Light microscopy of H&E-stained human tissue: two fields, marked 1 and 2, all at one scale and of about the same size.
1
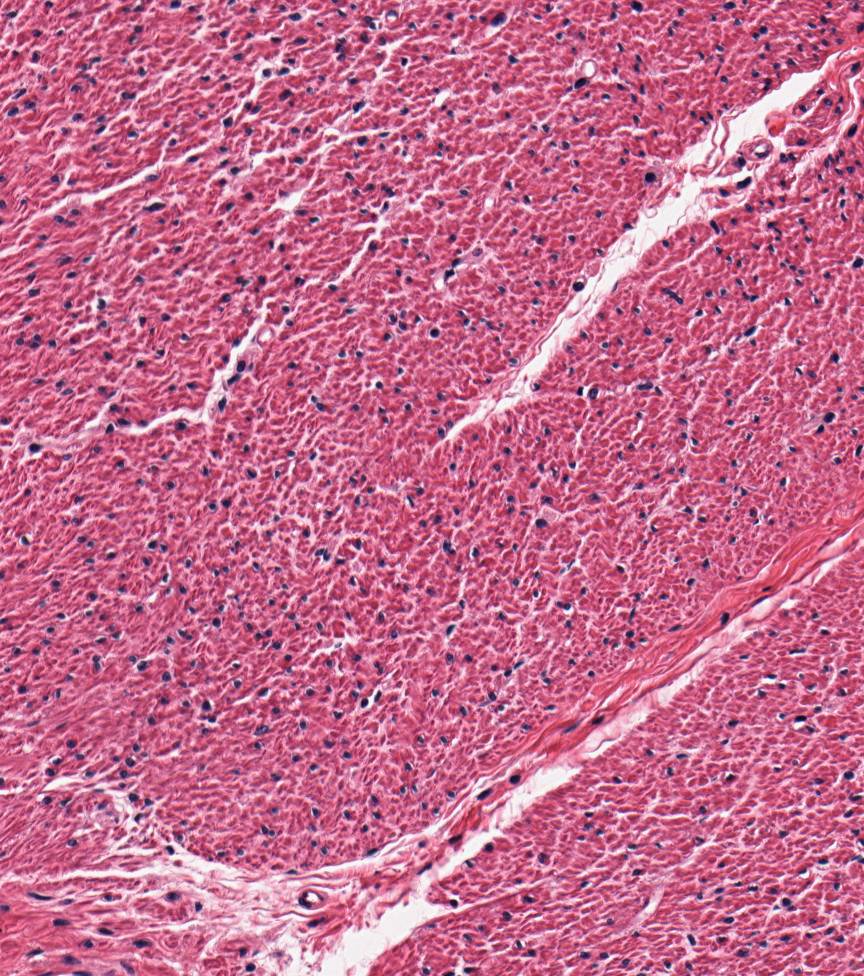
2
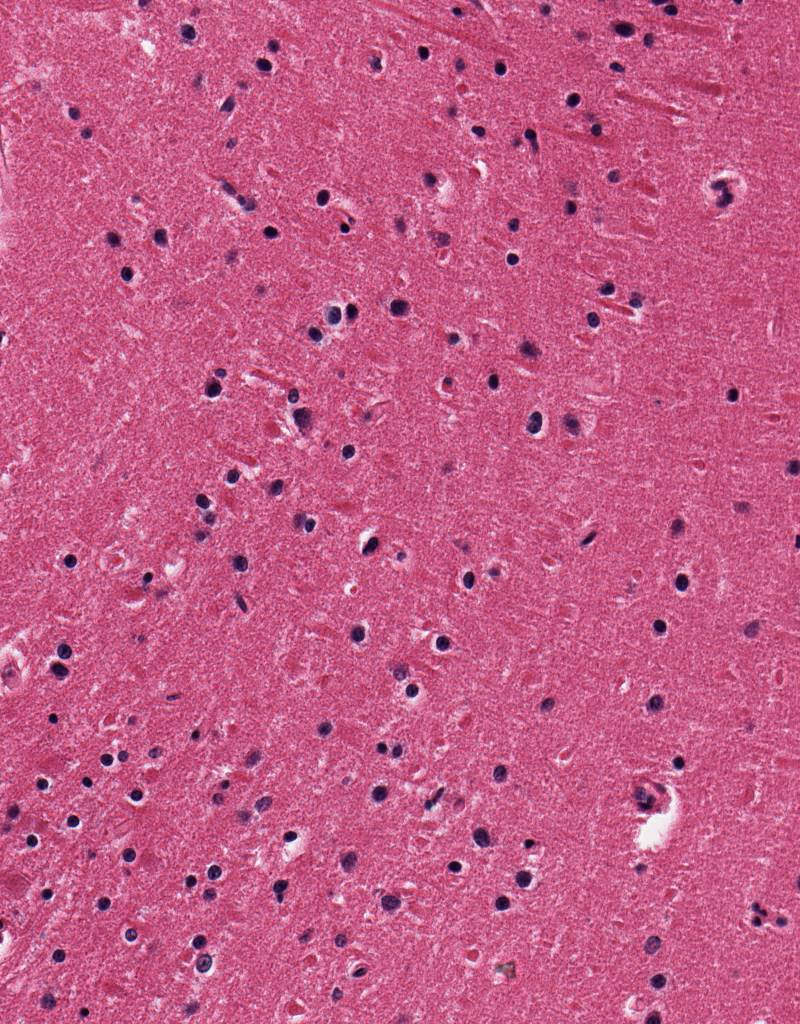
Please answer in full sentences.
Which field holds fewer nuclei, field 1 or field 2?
Field 2 holds fewer nuclei than field 1.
